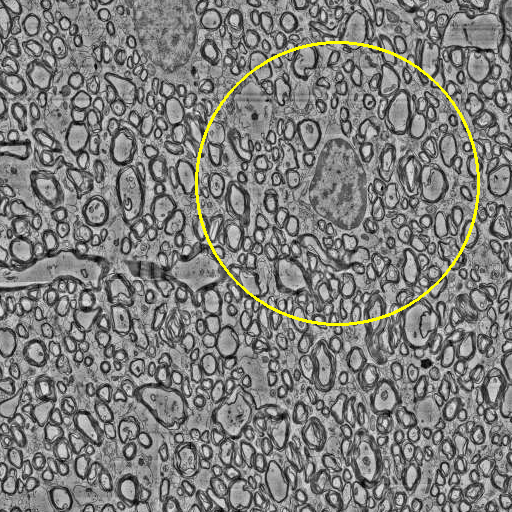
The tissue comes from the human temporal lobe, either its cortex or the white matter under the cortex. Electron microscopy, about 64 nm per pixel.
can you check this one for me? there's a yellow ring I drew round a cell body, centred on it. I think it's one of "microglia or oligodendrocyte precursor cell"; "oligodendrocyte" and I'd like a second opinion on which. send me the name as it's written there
microglia or oligodendrocyte precursor cell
